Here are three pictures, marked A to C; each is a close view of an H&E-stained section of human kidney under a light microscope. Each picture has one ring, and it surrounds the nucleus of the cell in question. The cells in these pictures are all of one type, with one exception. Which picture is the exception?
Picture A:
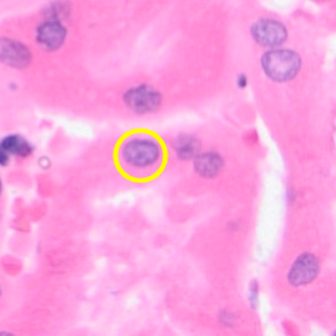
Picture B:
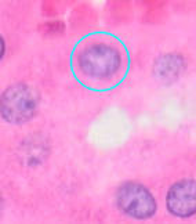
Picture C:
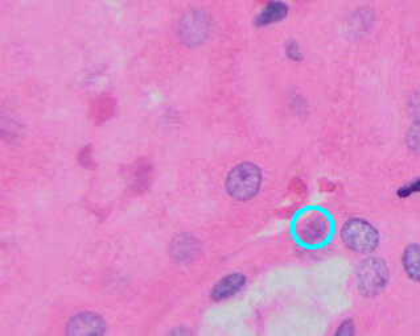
C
